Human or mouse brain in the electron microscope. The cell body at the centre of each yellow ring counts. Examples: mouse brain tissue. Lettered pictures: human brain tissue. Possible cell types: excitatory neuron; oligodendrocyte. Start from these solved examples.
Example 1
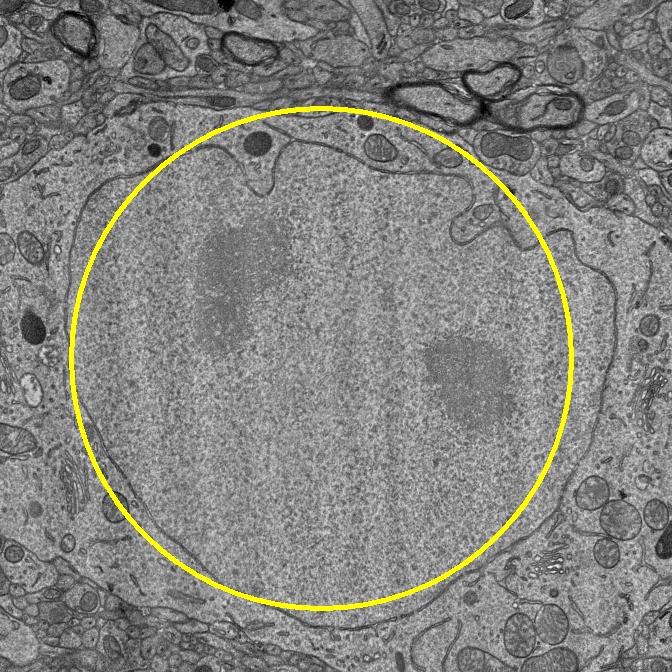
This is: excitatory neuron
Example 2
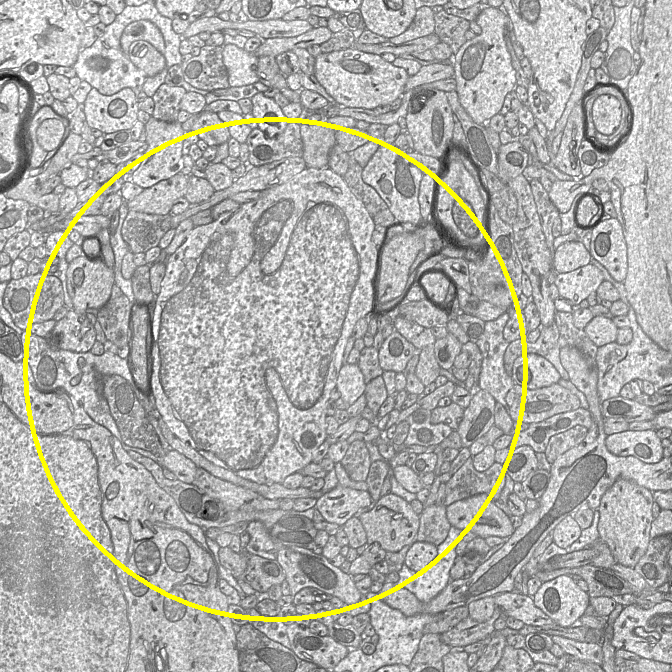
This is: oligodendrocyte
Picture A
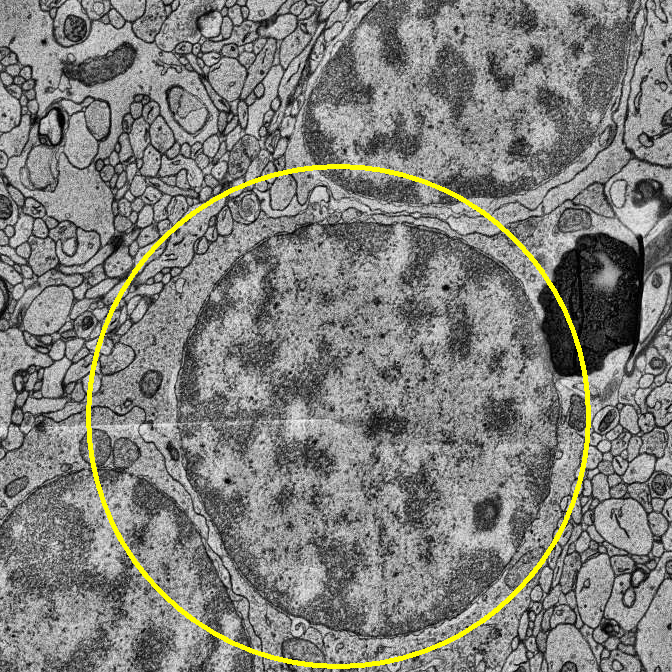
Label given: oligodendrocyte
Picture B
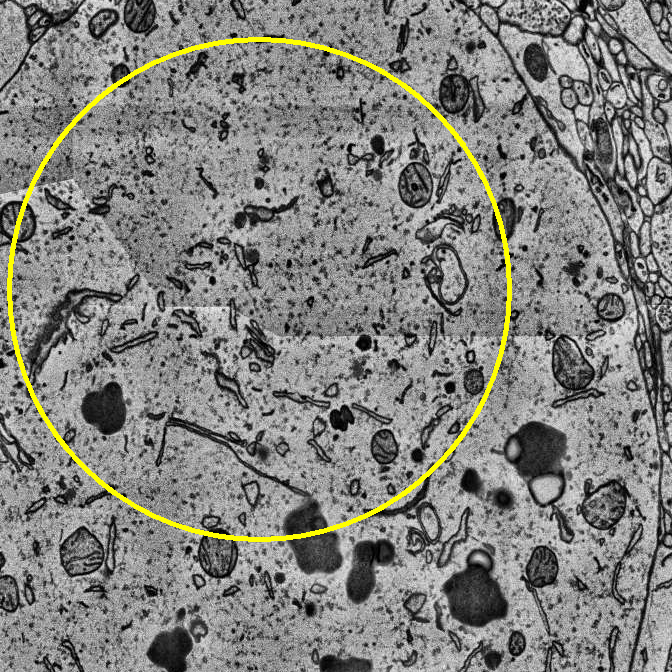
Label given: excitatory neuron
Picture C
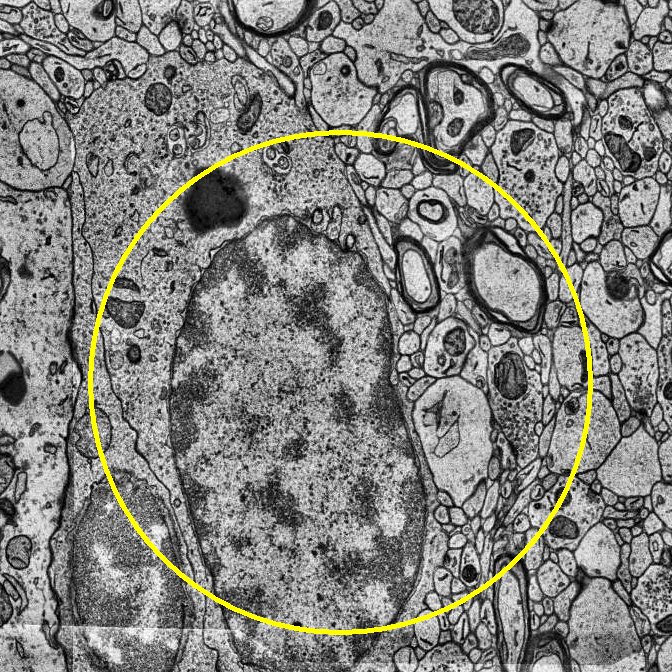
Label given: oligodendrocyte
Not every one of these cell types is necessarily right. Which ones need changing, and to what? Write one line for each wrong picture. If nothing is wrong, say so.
Nothing to fix; every label fits.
